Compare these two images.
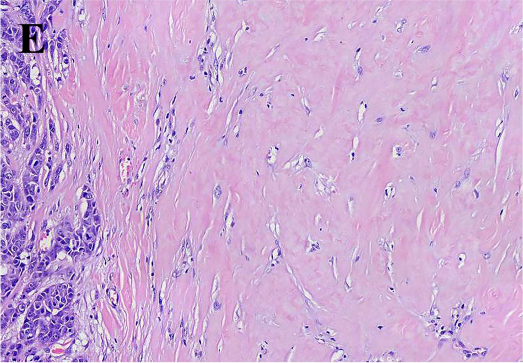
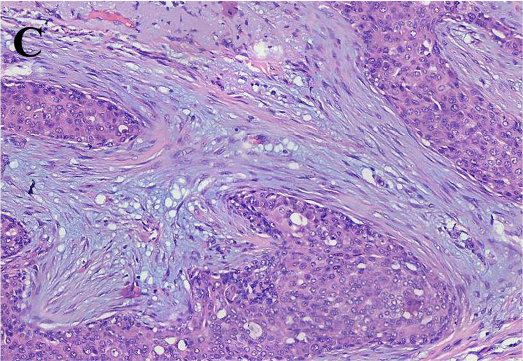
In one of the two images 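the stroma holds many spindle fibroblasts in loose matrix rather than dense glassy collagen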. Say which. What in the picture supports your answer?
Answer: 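First image: stroma is mostly homogeneous glassy pink with sparse nuclei. Second image: stroma between tumor nests is loose, pale bluish, with many spindle nuclei. On this evidence: the second image.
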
